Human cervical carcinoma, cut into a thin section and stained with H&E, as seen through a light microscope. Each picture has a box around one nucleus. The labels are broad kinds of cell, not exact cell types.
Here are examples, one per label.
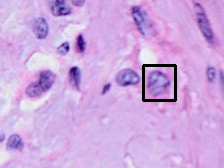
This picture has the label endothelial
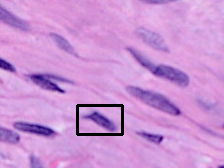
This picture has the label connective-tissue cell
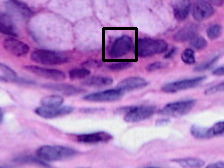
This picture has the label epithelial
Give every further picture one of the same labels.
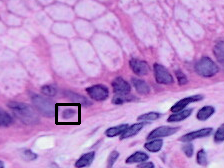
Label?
epithelial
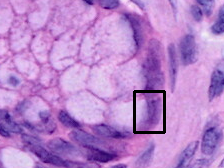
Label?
epithelial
